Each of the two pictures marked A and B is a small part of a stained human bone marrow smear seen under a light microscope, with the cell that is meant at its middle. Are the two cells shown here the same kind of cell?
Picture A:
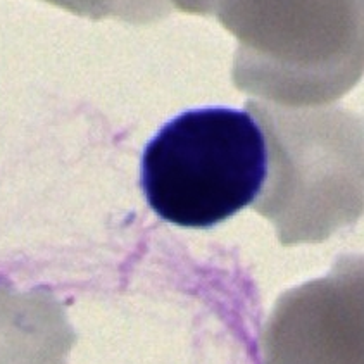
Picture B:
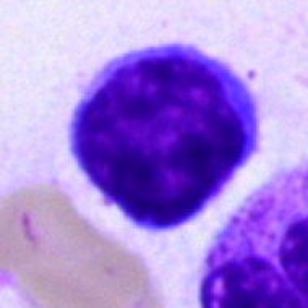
yes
